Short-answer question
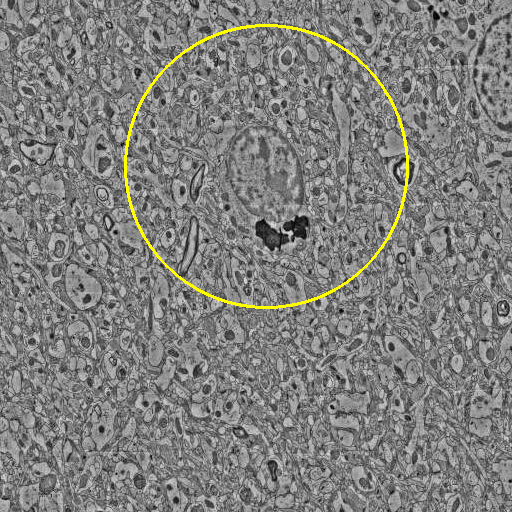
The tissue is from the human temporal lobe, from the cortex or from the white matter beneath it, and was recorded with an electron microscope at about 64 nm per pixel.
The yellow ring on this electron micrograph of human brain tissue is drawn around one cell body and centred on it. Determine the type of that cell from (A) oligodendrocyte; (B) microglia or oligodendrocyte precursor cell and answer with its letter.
A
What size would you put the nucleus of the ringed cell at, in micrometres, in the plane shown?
The nucleus of the ringed cell is approximately 6 by 5 micrometres in this plane.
